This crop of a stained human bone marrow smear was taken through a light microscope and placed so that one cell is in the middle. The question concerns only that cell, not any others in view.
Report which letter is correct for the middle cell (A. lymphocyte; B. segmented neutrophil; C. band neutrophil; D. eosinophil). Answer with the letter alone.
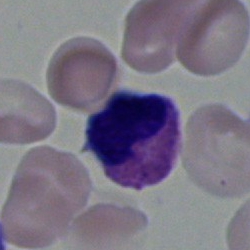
D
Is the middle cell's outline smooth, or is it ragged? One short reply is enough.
The edge is uneven, and this unevenness takes the form of ragged stretches or projections.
